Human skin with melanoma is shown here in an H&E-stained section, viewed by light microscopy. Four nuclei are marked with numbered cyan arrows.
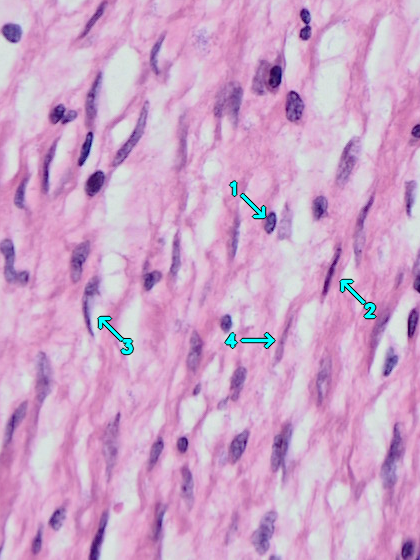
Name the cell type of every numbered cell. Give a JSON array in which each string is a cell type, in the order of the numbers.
["lymphocyte", "fibroblast or myofibroblast", "fibroblast or myofibroblast", "fibroblast or myofibroblast"]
